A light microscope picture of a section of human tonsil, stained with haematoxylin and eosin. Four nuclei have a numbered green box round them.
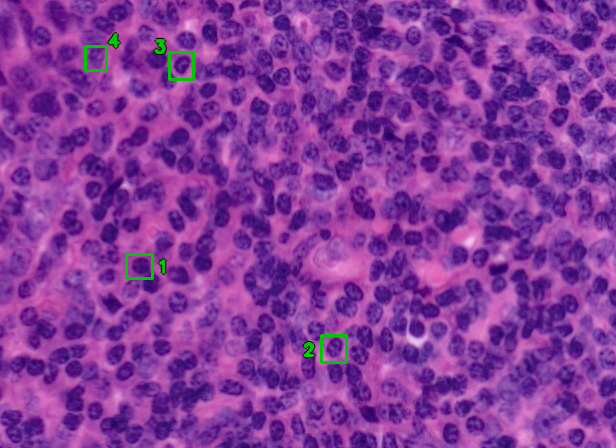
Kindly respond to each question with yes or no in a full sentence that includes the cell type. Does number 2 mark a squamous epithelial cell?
No, the cell given number 2 is a plasma cell, not a squamous epithelial cell.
